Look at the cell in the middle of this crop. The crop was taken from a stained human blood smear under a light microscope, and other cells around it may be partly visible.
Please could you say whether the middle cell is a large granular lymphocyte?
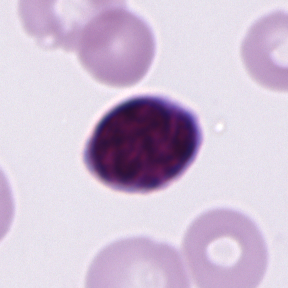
yes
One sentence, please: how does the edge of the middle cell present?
Worth noting that the cell border is smooth and lacks projections.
